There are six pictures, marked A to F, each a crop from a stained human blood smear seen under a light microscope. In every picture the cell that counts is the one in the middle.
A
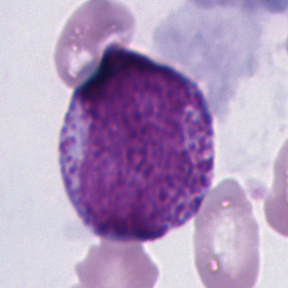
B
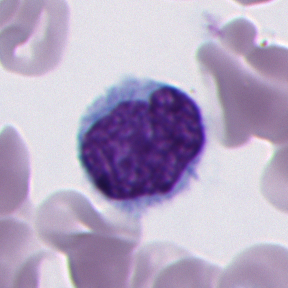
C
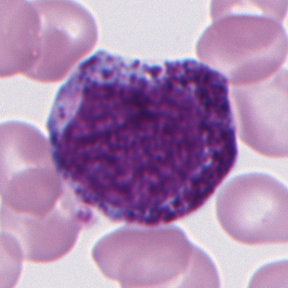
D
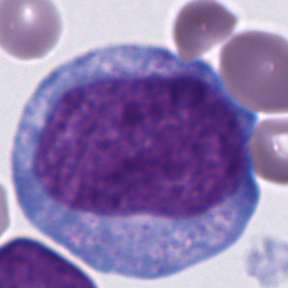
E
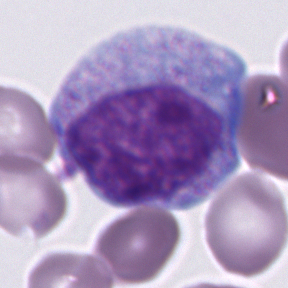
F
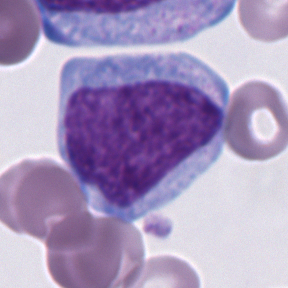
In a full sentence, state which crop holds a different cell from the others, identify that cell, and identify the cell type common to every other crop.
Of the crops, all show promyelocytes save crop B, which shows a monocyte.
